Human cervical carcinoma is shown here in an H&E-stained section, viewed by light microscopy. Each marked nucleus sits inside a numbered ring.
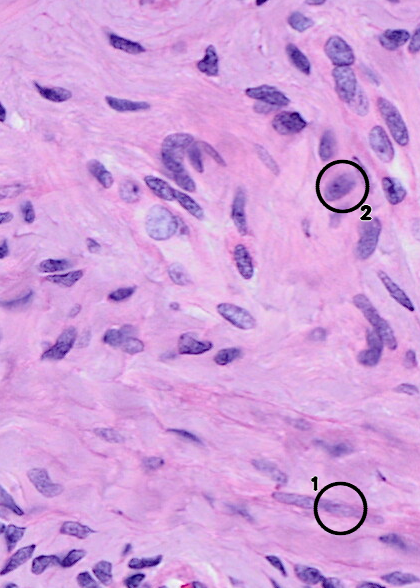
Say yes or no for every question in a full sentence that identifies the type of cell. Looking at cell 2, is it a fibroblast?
Yes, the cell that bears the number 2 is a fibroblast.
